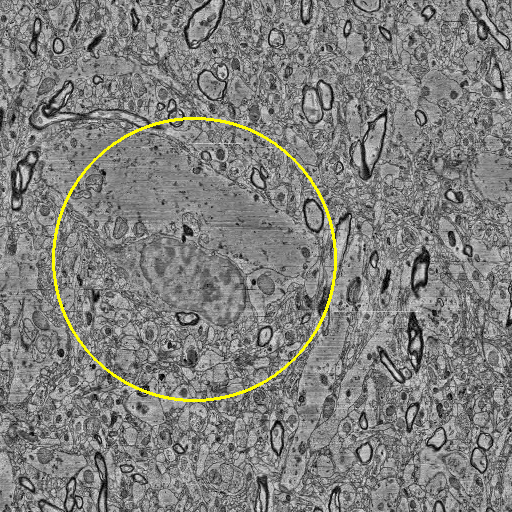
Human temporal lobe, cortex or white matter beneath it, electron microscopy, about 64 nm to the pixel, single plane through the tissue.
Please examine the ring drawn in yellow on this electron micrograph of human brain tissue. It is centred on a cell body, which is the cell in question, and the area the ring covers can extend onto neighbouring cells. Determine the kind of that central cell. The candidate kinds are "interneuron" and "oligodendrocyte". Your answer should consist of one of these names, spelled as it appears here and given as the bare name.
oligodendrocyte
